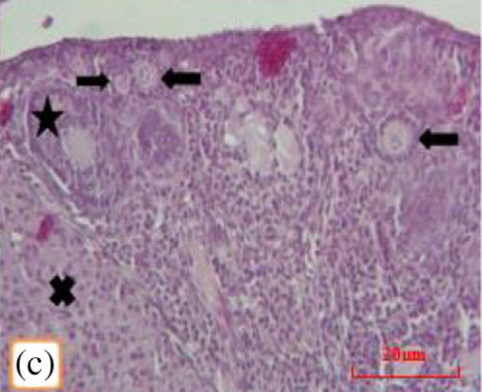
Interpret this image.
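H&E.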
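Ovarian cortex beneath a surface epithelium, with several small follicles and luteal tissue. Small follicles just below the surface each hold one round pale oocyte surrounded by a thin layer of cells. A larger follicle on the left has a thicker multilayered wall. The lower part is a dense mass of cells with pink cytoplasm and round nuclei.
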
